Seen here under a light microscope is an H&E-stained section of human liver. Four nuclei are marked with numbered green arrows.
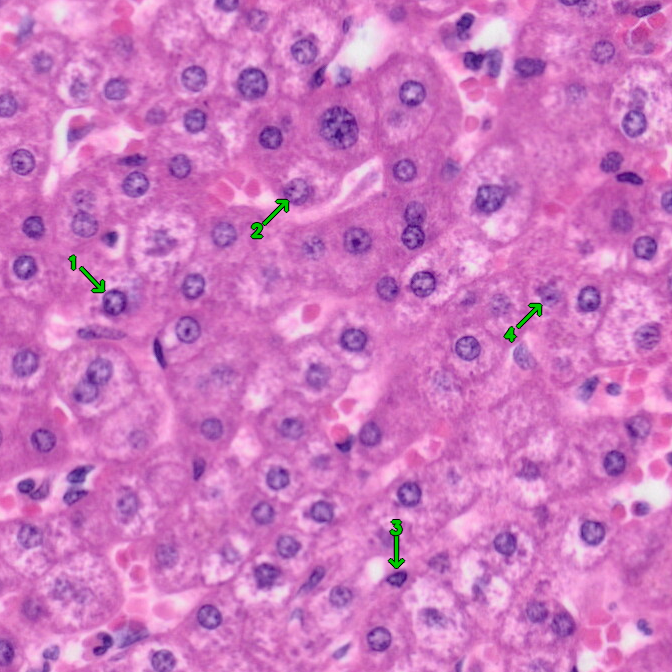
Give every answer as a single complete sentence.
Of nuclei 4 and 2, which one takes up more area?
Nucleus 2 covers more area, about 1.5 times as much as nucleus 4.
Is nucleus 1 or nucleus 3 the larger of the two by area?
Nucleus 1 is the larger one, covering about 2 times the area of nucleus 3.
